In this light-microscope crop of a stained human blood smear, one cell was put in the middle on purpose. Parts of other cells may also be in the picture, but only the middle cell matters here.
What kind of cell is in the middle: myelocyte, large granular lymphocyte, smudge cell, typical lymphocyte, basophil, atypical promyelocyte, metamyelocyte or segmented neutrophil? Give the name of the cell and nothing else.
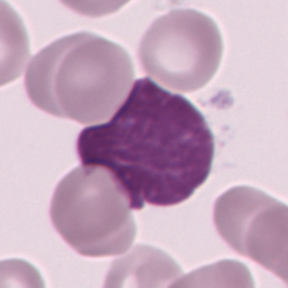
smudge cell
